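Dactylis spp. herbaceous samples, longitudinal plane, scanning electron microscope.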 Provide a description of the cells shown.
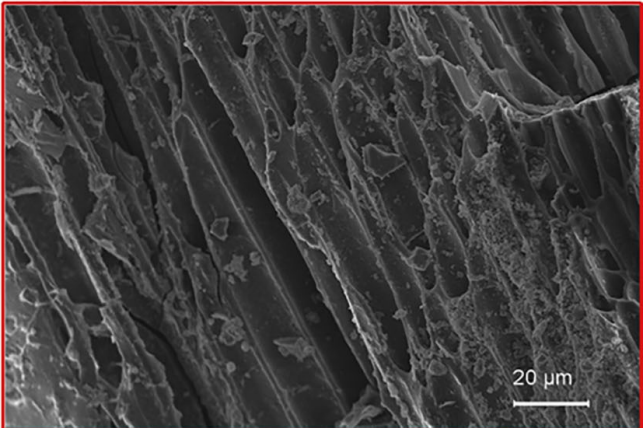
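Long, narrow cells lie parallel to one another, running diagonally across the view, with their walls standing out as ridges between hollow lumina. Some walls are torn or collapsed, and small debris is scattered over the surfaces.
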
